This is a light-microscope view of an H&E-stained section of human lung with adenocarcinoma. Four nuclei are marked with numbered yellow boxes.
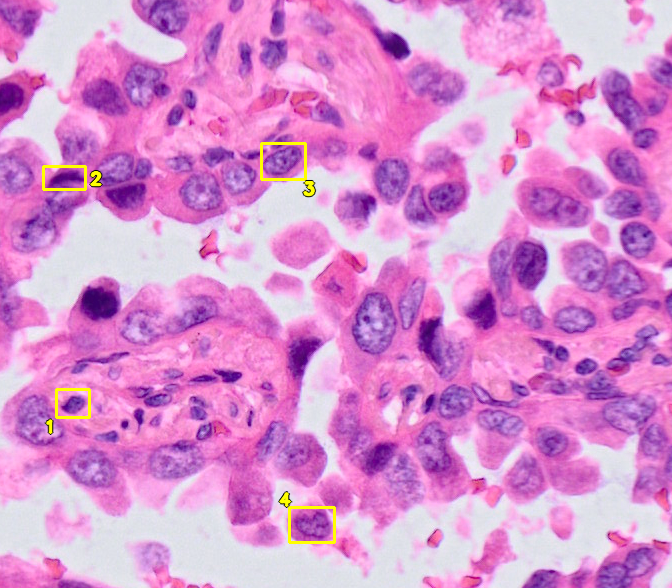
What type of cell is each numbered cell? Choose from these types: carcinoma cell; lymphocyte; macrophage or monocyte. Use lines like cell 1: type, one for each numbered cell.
cell 1: lymphocyte
cell 2: carcinoma cell
cell 3: carcinoma cell
cell 4: carcinoma cell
